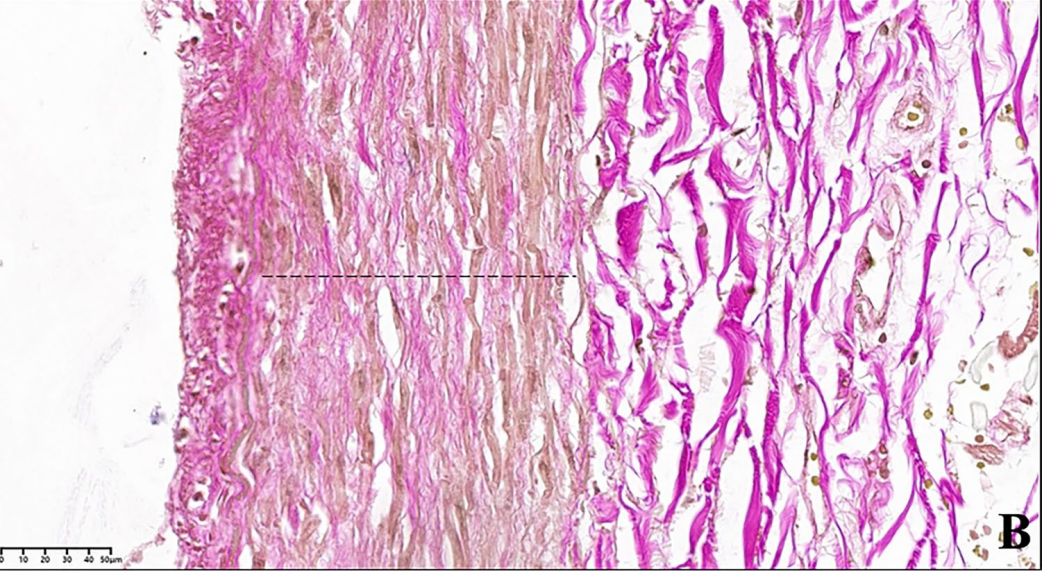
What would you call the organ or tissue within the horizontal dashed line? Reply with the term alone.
Tunica media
